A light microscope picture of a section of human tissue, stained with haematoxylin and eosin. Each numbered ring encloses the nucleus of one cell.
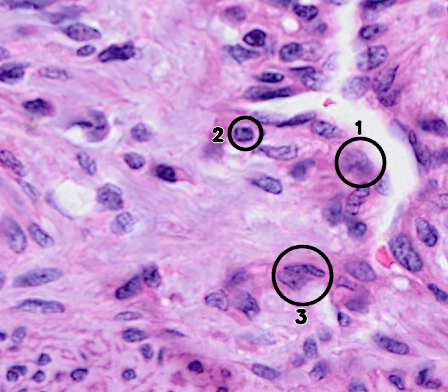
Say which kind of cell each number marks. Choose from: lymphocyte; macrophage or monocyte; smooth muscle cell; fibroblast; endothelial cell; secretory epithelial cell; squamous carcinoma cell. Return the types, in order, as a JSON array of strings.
["endothelial cell", "lymphocyte", "endothelial cell"]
